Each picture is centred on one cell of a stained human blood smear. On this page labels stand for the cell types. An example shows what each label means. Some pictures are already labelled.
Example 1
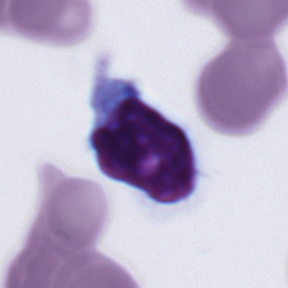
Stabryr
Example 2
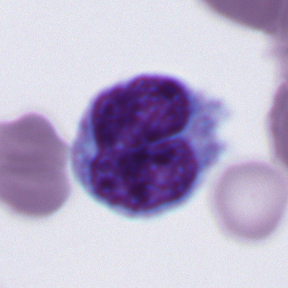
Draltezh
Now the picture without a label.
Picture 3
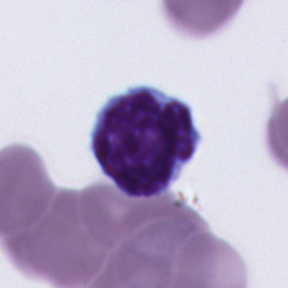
Stabryr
